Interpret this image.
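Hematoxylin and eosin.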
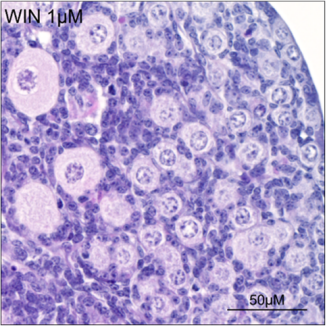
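Section of ovary with numerous follicles: large round cells with pale pink cytoplasm and a round nucleus, each enclosed by small cells with dark purple nuclei, set among densely packed tissue of small dark nuclei. At the upper left one larger round cell with abundant pale pink cytoplasm is surrounded by a fuller rim of cells than the small ones around it.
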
